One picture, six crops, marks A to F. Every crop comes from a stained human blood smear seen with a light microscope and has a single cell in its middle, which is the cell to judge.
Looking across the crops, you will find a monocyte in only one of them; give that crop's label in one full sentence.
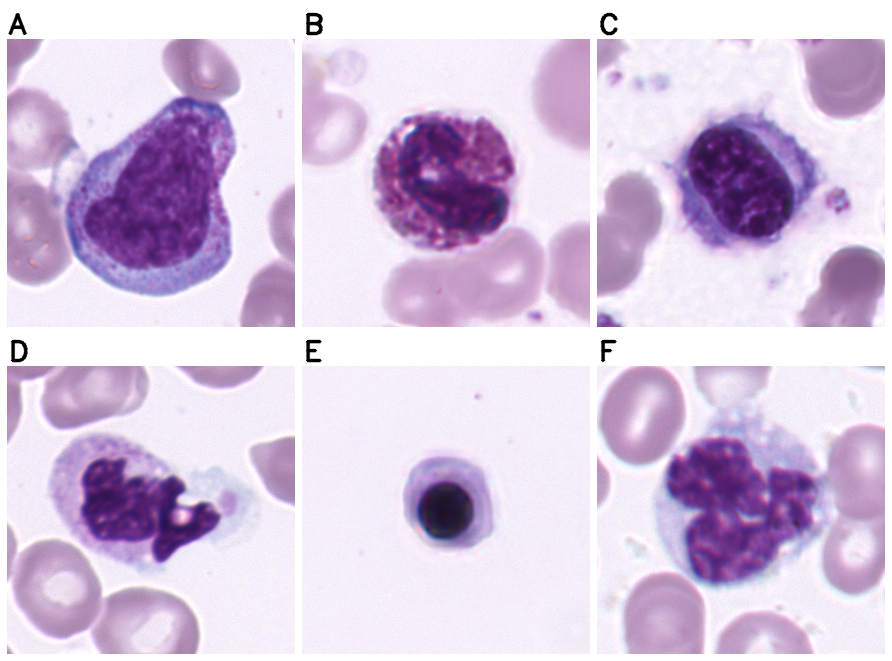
Crop F represents a monocyte, while the other crops do not.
